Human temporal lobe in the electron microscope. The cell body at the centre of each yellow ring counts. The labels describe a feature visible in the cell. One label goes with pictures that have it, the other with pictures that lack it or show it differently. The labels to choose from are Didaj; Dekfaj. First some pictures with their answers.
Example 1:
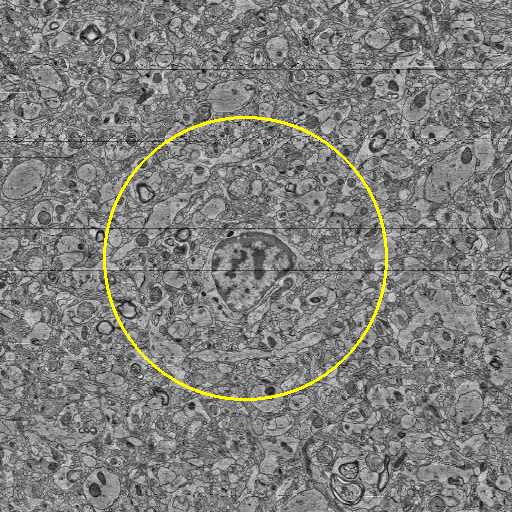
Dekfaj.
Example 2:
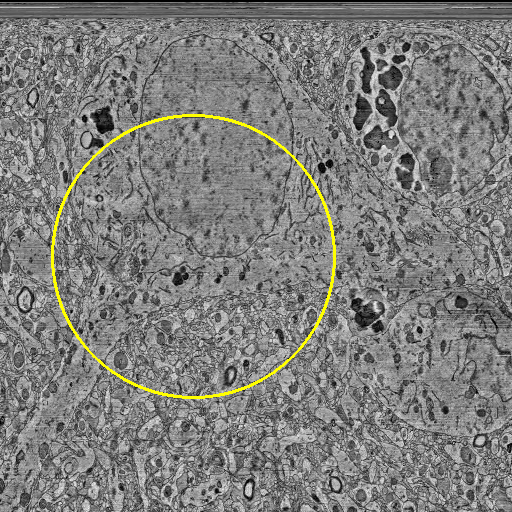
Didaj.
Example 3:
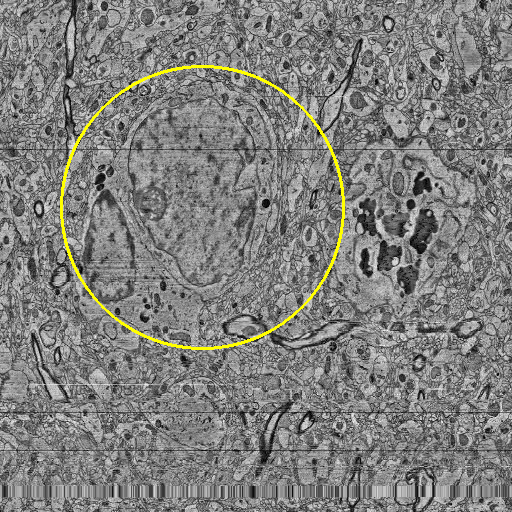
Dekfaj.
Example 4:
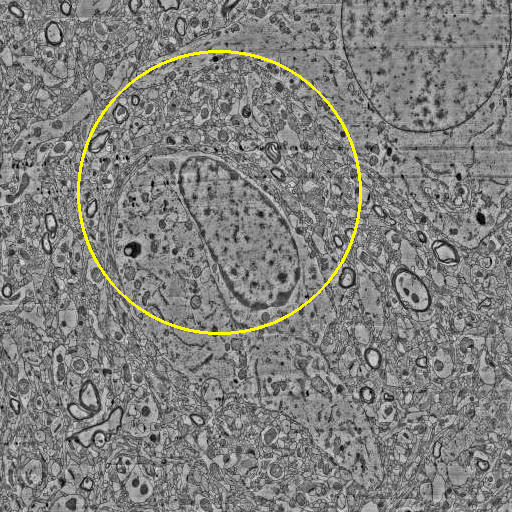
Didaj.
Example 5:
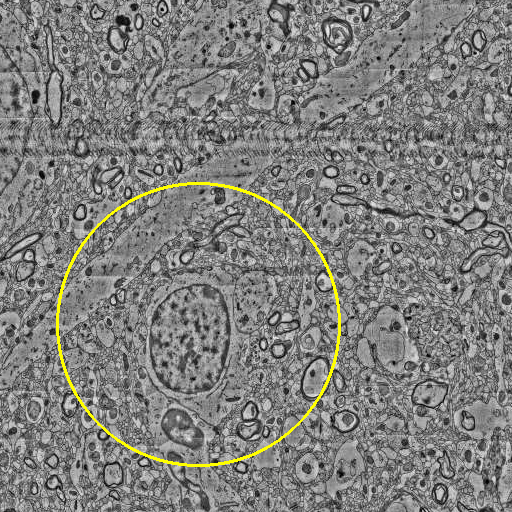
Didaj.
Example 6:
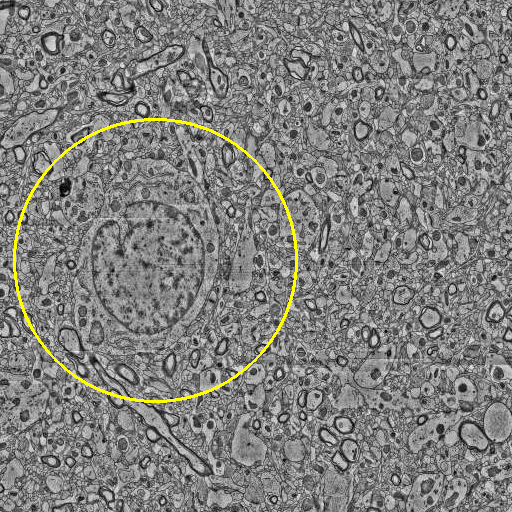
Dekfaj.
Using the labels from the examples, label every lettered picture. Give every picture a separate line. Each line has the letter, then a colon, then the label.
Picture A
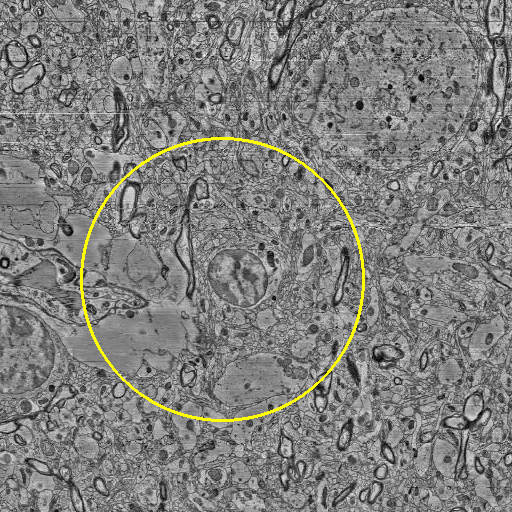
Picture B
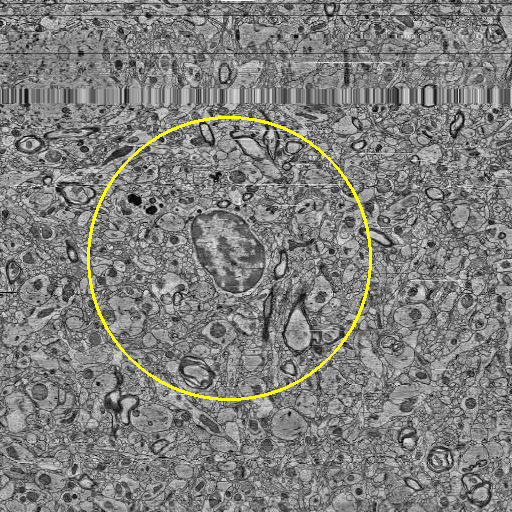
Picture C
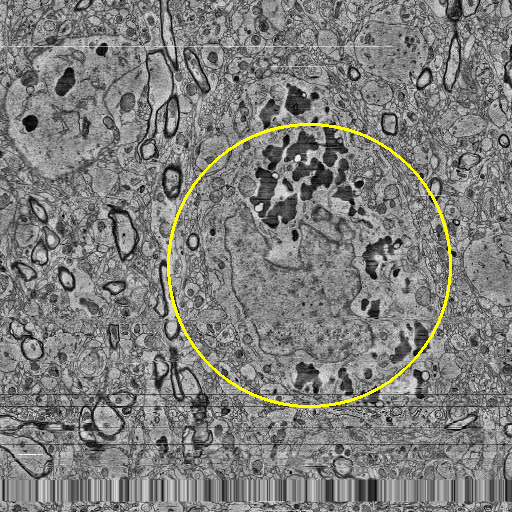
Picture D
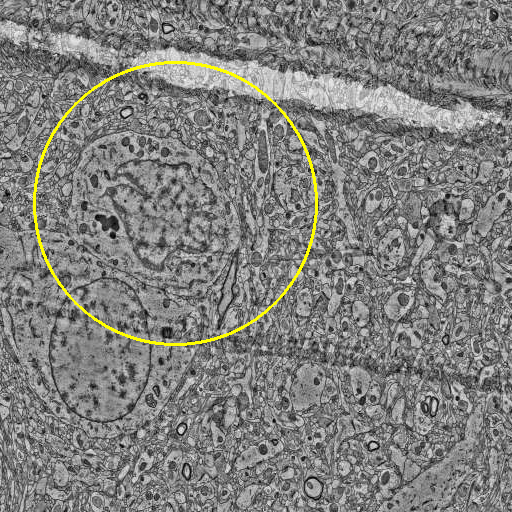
A: Didaj.
B: Didaj.
C: Dekfaj.
D: Dekfaj.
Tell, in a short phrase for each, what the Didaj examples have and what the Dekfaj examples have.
Seen in Didaj: smooth nuclear envelopes without deep folds; seen in Dekfaj: deeply folded or indented nuclear envelopes.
